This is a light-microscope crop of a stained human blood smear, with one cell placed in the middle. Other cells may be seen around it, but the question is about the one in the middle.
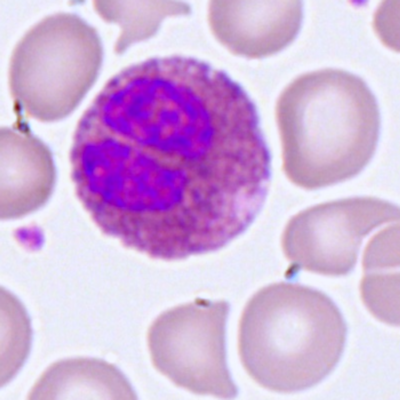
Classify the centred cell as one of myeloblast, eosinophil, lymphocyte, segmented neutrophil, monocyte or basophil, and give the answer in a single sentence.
The cell sitting right in the middle is an eosinophil.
